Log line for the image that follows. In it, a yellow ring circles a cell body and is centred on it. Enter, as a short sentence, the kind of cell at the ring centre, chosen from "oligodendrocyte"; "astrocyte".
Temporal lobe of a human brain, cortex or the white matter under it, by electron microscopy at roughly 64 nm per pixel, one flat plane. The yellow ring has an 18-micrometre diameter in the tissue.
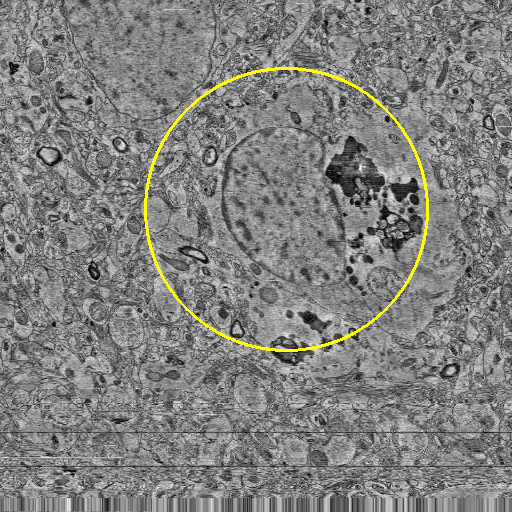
The ring centre is occupied by an astrocyte.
